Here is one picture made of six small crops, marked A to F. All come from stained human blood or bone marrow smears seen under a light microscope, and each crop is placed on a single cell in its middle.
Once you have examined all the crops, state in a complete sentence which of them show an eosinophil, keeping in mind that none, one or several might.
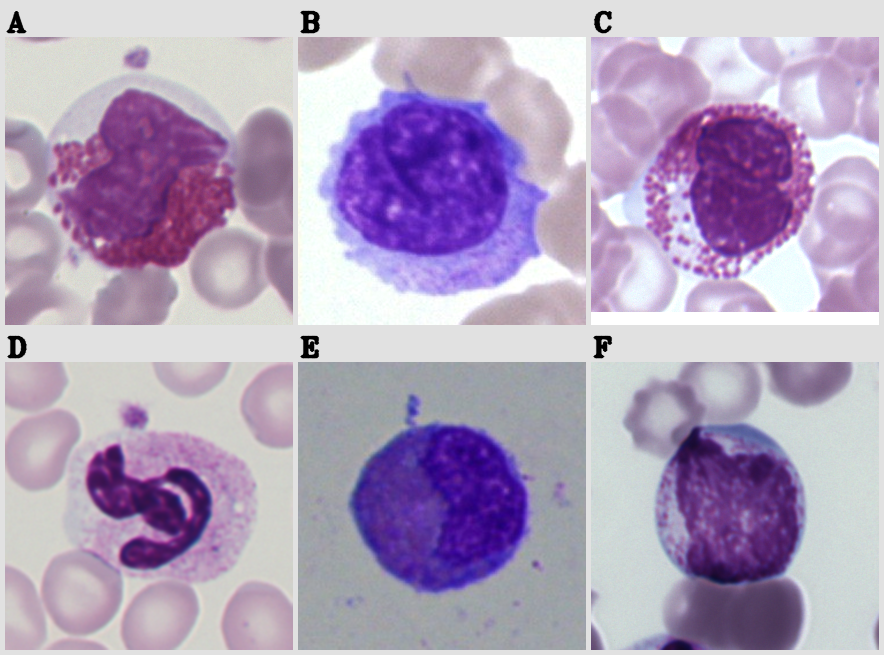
Crops A, C and E show eosinophils as their middle cells.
